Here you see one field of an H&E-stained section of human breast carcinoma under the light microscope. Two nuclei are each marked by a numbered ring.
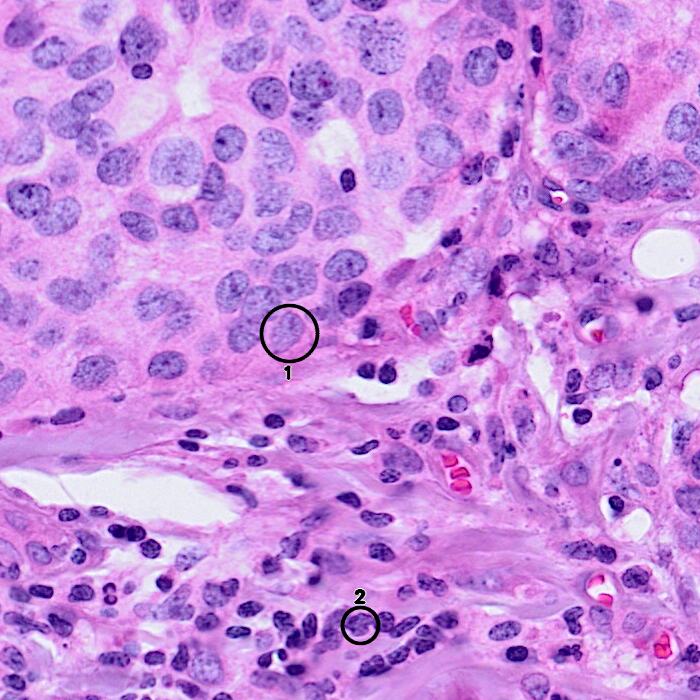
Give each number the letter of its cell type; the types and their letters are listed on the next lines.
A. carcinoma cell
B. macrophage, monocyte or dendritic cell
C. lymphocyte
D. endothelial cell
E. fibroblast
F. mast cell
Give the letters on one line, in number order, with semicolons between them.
A; C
